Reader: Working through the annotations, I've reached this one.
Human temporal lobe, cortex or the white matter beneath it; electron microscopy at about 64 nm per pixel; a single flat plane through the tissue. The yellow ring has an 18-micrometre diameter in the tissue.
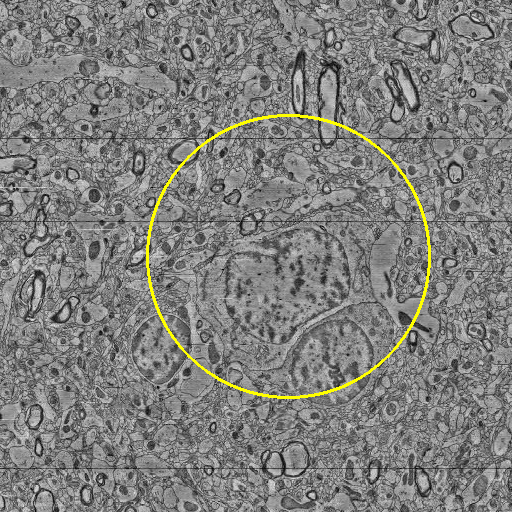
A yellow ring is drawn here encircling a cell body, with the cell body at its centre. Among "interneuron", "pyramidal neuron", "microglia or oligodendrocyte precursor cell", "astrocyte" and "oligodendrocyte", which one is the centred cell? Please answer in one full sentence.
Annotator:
The cell body at the centre of the yellow ring in this image belongs to an interneuron.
